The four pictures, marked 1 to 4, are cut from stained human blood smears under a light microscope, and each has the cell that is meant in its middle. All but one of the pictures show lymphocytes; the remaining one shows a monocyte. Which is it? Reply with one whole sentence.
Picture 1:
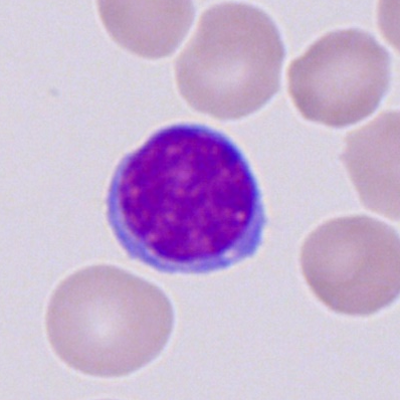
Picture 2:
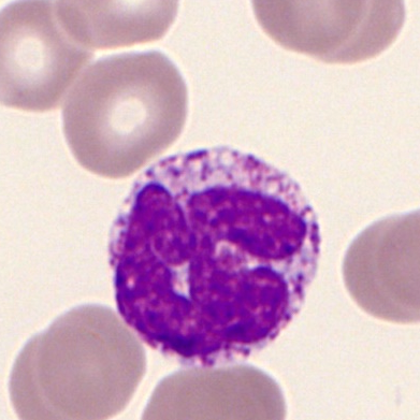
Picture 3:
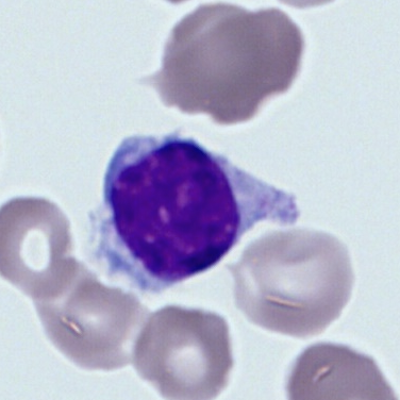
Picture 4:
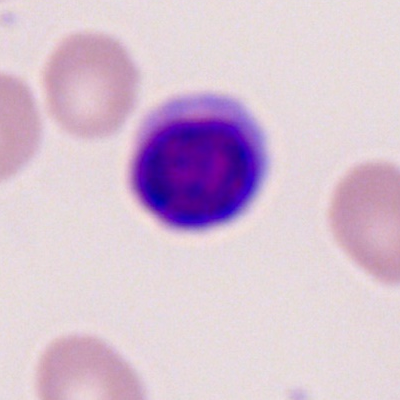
The cell in picture 2 is the monocyte.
